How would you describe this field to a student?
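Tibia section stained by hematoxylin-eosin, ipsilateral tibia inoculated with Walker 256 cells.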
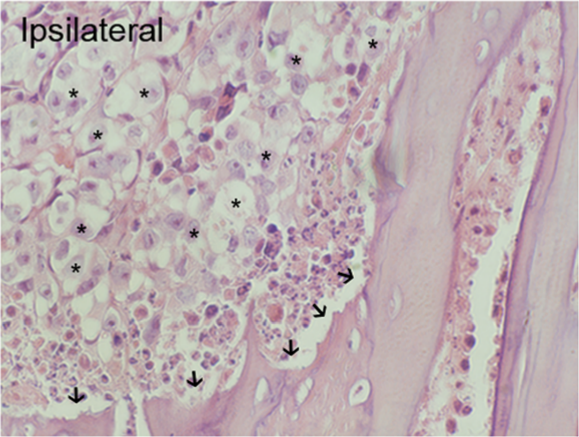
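Along the trabecular surface the bone edge is irregular and scalloped, with small darker cells lying in the hollows of the eroded surface. A strip of marrow with smaller cells runs along the bone at the right edge.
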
